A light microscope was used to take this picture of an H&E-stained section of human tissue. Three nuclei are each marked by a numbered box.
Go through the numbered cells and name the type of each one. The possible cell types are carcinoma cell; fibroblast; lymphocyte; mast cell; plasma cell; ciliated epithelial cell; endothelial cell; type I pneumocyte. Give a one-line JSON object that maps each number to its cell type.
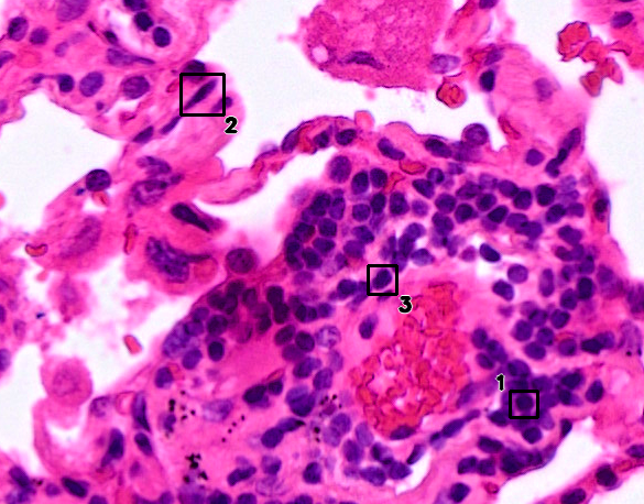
{"1": "lymphocyte", "2": "endothelial cell", "3": "lymphocyte"}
